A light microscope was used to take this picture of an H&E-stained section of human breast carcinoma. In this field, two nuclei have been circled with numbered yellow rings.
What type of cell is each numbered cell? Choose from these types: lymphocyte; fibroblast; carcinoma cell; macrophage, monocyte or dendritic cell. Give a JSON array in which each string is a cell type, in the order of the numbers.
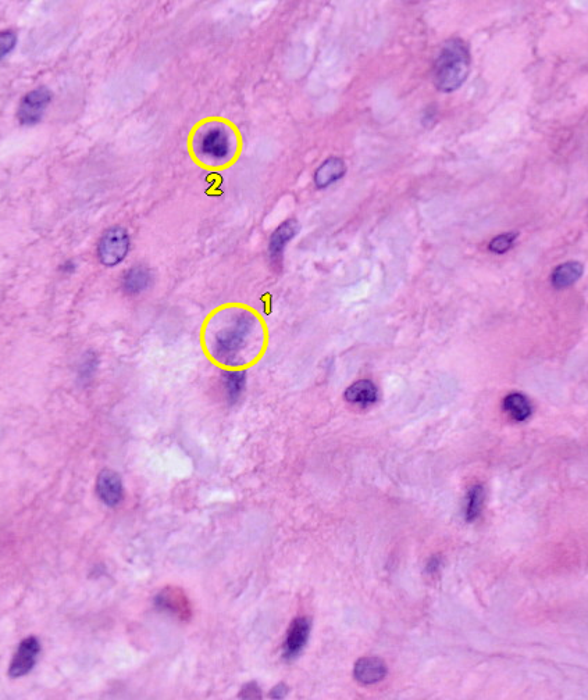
["fibroblast", "lymphocyte"]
